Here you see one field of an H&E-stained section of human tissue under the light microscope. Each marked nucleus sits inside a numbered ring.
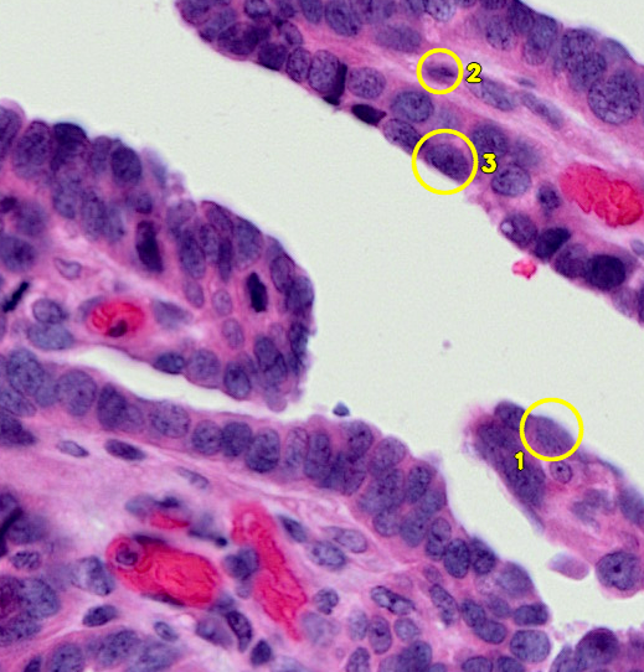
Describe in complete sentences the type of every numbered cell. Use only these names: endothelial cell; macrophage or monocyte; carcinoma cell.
Cell 1 is a carcinoma cell, cell 2 is a macrophage or monocyte and cell 3 is a carcinoma cell.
